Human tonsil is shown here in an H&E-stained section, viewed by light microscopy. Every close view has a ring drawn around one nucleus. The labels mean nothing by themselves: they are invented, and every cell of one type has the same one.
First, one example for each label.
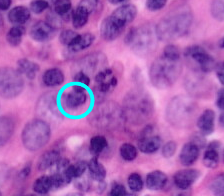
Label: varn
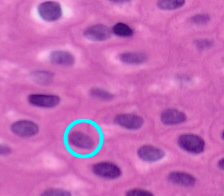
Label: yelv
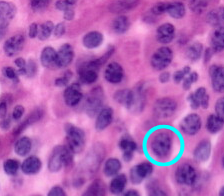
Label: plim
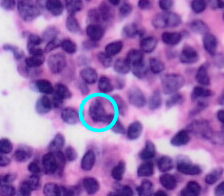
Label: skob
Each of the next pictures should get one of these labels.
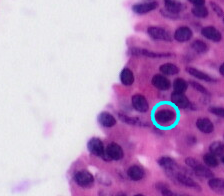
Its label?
plim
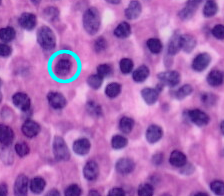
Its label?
plim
